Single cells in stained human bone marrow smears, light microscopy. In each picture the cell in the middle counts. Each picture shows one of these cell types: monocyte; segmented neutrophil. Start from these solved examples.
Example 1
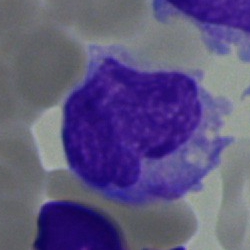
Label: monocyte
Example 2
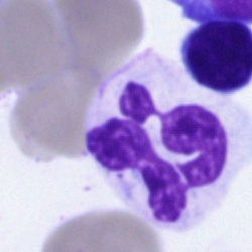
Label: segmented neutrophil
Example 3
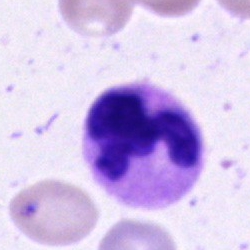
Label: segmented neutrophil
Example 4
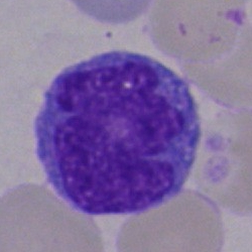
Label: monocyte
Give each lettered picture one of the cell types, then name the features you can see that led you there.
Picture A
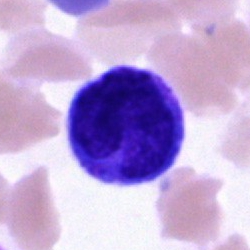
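monocyte. Reason: Cytoplasm is scant, forming at most a thin rim around the nucleus.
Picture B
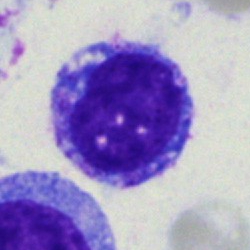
monocyte. Reason: The cytoplasm forms a narrow rim around the nucleus.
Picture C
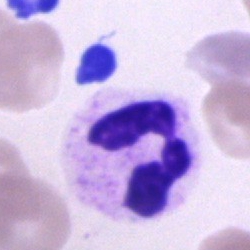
segmented neutrophil. Reason: Fine pinkish-purple granules are scattered through the cytoplasm.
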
